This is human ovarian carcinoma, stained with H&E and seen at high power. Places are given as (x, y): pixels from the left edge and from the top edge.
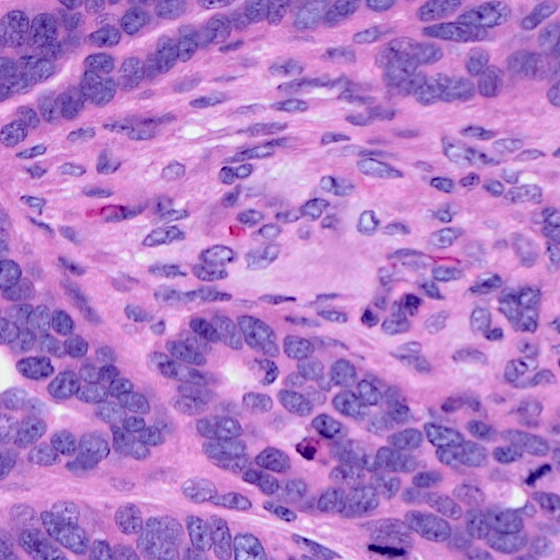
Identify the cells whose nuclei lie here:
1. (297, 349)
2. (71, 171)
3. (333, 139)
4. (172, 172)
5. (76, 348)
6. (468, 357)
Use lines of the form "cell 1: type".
cell 1: carcinoma cell
cell 2: fibroblast
cell 3: fibroblast
cell 4: fibroblast
cell 5: carcinoma cell
cell 6: fibroblast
